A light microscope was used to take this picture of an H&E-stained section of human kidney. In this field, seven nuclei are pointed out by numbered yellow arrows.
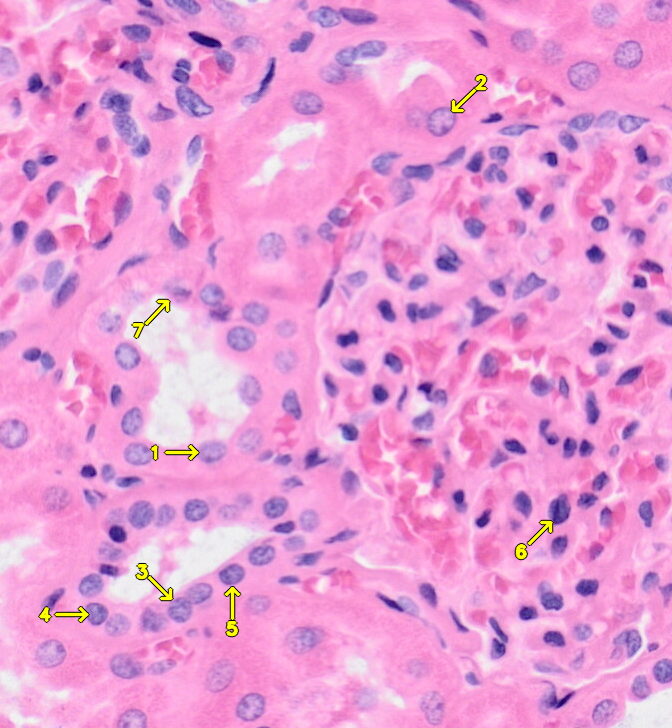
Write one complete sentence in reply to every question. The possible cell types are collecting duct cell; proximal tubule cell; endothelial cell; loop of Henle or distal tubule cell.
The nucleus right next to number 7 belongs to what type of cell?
The nucleus nearest to number 7 is that of a loop of Henle or distal tubule cell.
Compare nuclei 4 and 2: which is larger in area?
Number 2 is larger; its area is about 1.5 times that of number 4.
